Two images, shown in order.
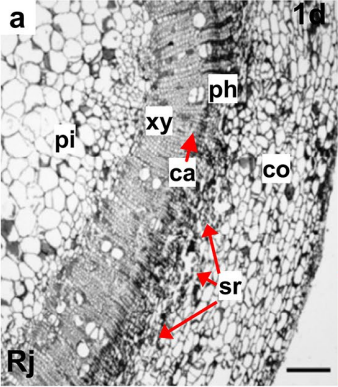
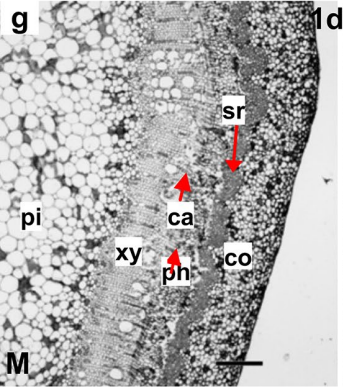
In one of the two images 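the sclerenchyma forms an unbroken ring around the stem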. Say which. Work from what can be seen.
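First image: dark sclerenchyma occurs as separate patches outside the phloem. Second image: a dark band runs without break between phloem and cortex. That points to this answer: the second image.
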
